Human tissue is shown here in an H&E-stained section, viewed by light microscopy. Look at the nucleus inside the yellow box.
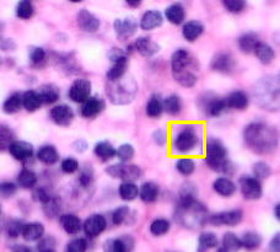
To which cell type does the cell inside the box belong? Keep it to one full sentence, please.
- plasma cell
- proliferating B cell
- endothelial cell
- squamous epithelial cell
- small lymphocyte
In the tissue at hand, the cell inside the box is a proliferating B cell.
